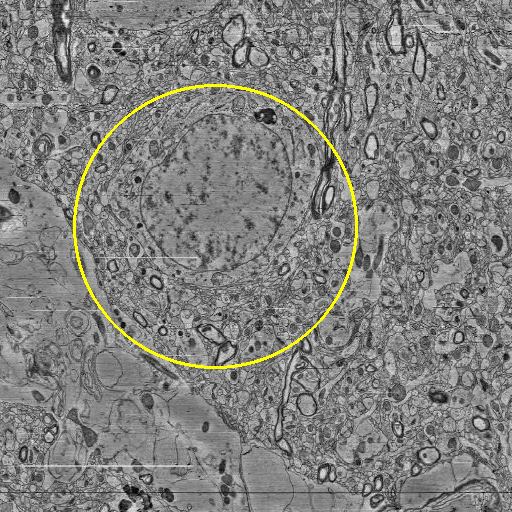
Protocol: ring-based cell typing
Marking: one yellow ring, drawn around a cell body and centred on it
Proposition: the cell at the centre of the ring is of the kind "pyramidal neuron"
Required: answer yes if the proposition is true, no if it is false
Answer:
yes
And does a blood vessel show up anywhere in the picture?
Yes.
